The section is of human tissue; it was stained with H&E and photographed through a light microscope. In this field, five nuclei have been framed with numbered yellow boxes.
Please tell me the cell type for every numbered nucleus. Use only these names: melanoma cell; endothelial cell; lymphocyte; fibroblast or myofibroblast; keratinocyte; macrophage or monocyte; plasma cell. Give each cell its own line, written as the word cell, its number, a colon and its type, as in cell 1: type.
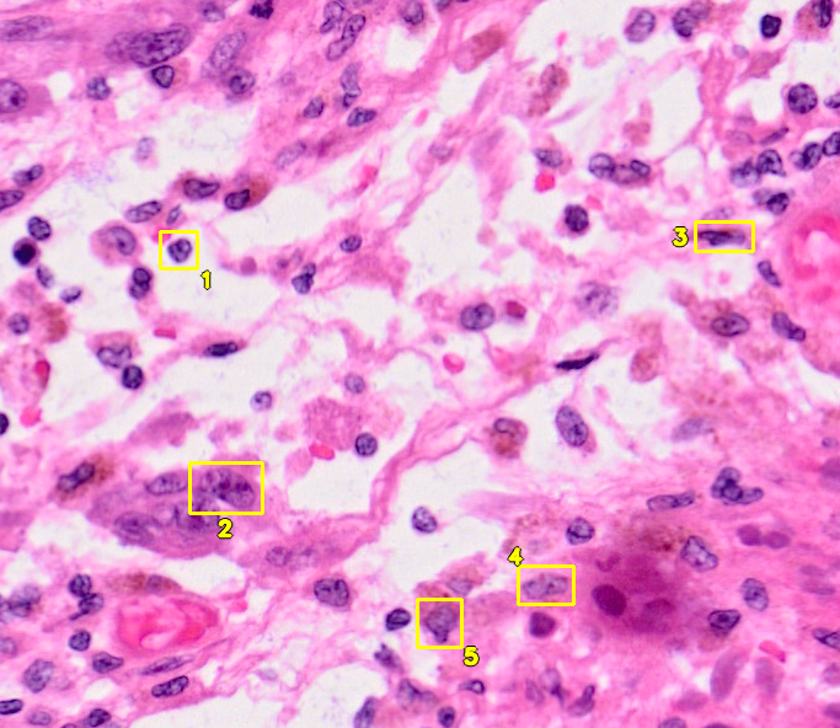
cell 1: lymphocyte
cell 2: melanoma cell
cell 3: macrophage or monocyte
cell 4: macrophage or monocyte
cell 5: macrophage or monocyte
